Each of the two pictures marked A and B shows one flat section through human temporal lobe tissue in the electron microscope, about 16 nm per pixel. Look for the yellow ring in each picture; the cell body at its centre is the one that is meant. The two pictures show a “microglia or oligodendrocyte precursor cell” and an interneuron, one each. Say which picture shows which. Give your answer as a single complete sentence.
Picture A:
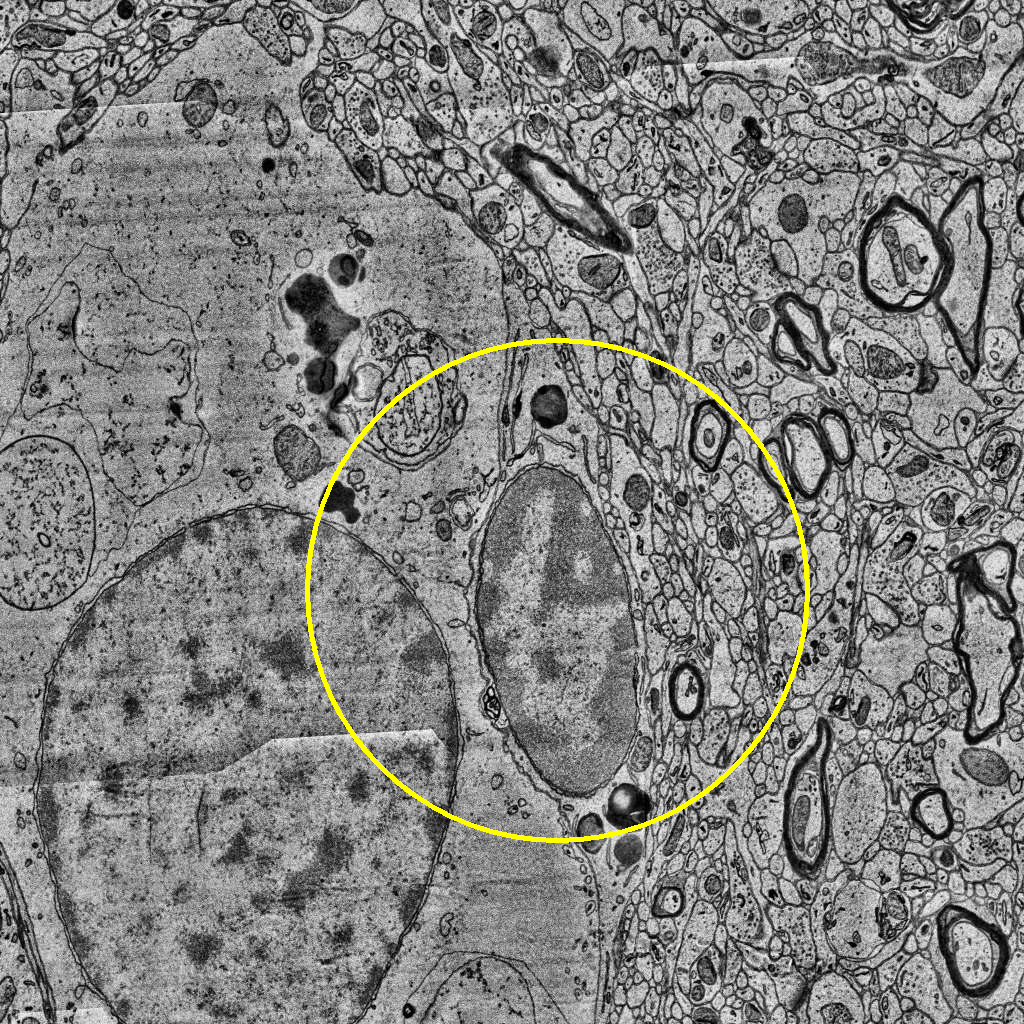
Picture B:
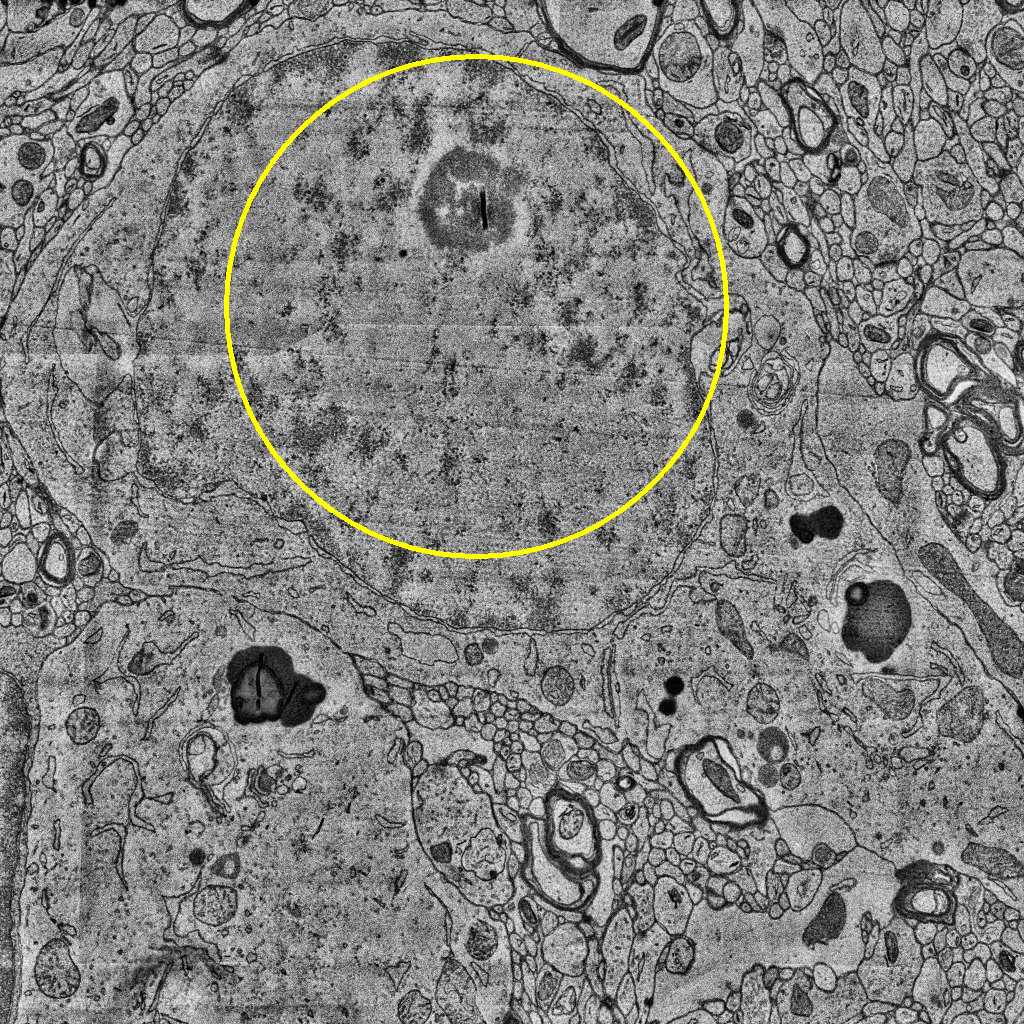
Picture A is of a “microglia or oligodendrocyte precursor cell”, and picture B is of an interneuron.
